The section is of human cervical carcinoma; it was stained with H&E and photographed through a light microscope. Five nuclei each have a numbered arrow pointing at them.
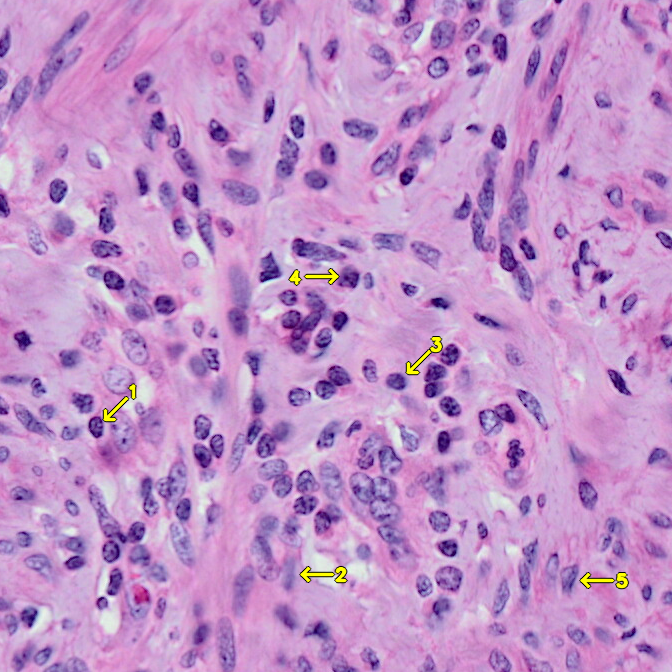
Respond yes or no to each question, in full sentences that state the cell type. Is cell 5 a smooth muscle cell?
Yes, in this section the cell with number 5 is a smooth muscle cell.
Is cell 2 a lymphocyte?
No, it's not a lymphocyte at number 2; that cell is a fibroblast.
